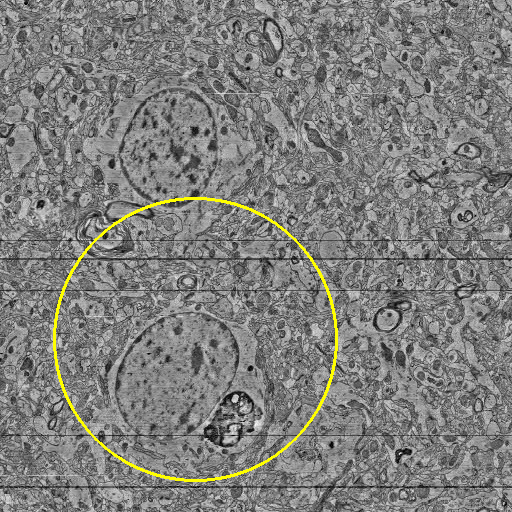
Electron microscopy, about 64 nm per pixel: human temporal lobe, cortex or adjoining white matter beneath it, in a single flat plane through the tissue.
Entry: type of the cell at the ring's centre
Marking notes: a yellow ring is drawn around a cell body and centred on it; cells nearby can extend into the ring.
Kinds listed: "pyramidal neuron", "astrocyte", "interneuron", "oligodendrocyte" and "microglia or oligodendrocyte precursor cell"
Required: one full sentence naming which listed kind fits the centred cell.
My entry names an astrocyte as the cell whose body the yellow ring centres on.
